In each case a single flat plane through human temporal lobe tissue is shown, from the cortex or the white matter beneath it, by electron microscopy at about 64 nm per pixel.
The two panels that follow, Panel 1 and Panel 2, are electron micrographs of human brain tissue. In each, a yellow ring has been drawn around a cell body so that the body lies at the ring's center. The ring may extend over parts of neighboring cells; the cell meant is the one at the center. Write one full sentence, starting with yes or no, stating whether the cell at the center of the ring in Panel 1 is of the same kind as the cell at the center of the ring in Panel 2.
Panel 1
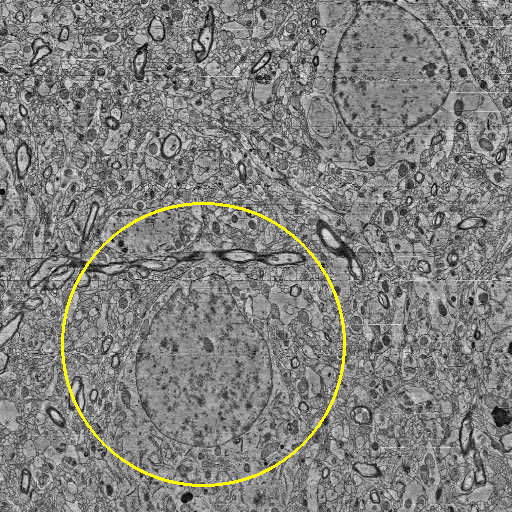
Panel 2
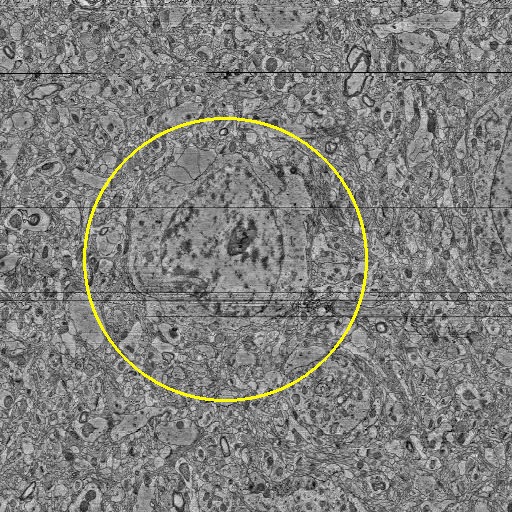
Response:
Yes, the cells in both panels are of the same kind.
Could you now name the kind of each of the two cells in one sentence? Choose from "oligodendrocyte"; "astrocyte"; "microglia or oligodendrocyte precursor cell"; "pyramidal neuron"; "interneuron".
Both rings mark an interneuron, one in each picture.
